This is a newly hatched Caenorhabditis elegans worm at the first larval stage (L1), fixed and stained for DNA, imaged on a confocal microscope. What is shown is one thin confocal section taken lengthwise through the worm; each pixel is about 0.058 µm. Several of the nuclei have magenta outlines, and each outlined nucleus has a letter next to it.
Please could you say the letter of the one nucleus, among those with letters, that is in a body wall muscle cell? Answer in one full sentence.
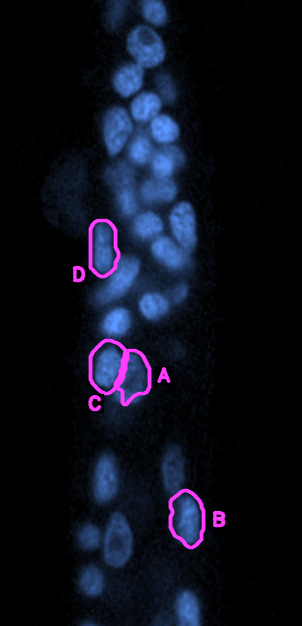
B is the one that belongs to a body wall muscle cell.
